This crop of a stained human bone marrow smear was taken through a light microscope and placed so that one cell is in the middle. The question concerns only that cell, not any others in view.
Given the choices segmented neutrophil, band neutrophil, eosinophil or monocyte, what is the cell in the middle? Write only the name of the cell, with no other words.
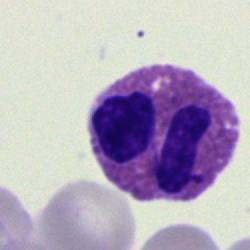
eosinophil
